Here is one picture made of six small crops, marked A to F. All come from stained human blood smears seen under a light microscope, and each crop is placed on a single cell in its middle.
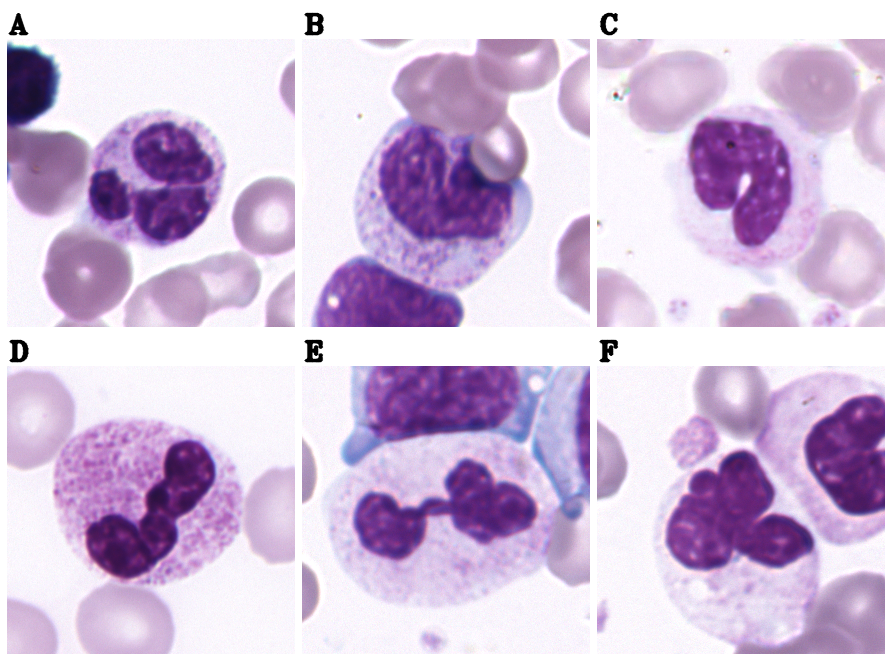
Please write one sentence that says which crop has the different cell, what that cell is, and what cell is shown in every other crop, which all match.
All of the other crops show segmented neutrophils; crop C, by contrast, is a band neutrophil.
